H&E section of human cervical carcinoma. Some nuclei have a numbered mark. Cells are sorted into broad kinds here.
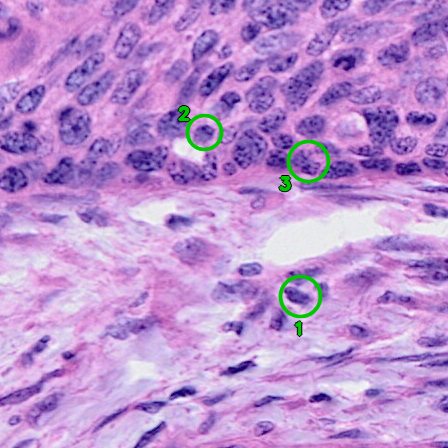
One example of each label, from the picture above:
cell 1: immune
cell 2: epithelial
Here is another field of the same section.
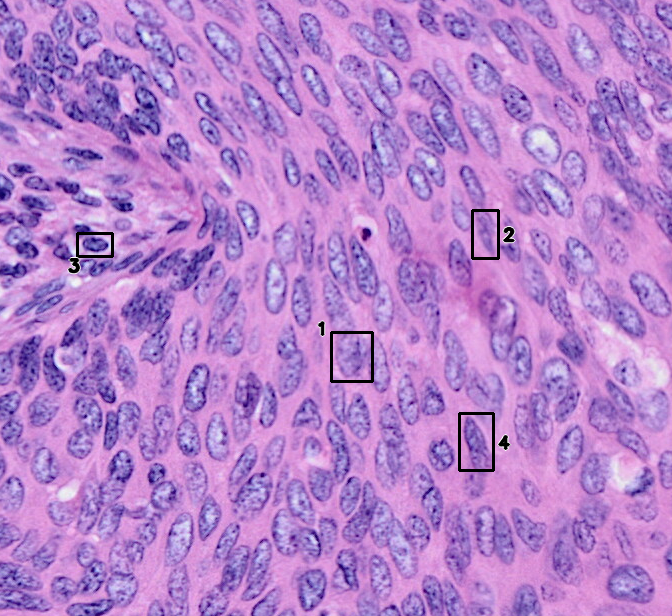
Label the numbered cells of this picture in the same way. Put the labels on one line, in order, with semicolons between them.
epithelial; epithelial; immune; epithelial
